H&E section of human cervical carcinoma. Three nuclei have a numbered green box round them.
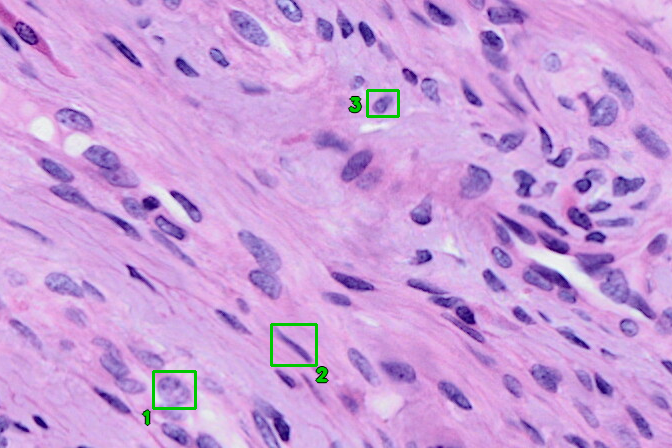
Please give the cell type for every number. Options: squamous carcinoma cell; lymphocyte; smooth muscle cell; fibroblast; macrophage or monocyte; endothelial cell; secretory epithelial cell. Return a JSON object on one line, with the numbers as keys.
{"1": "endothelial cell", "2": "fibroblast", "3": "fibroblast"}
